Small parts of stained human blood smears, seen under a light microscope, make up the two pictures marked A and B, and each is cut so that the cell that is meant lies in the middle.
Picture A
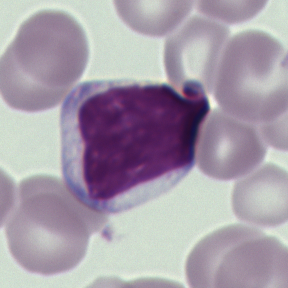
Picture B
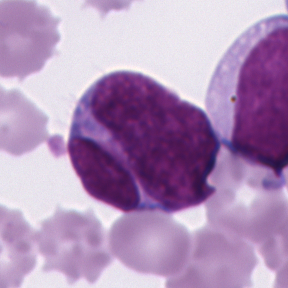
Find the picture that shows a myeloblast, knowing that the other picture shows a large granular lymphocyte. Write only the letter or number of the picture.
B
